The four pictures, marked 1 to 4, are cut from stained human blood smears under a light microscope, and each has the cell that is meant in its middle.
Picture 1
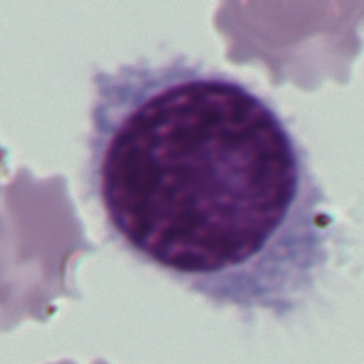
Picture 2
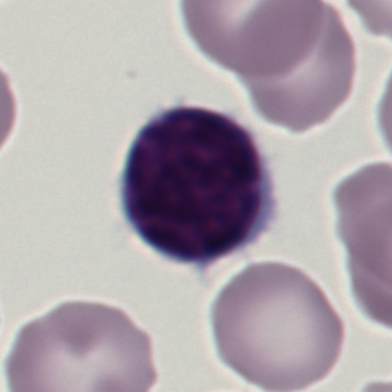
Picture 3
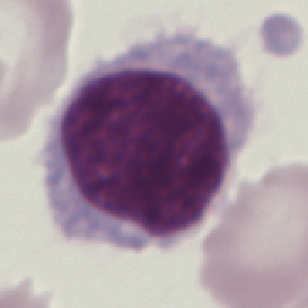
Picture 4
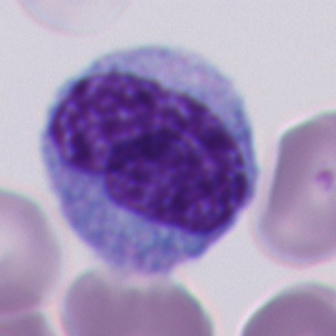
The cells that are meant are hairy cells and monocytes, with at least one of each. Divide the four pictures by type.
1: hairy cell
2: hairy cell
3: hairy cell
4: monocyte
